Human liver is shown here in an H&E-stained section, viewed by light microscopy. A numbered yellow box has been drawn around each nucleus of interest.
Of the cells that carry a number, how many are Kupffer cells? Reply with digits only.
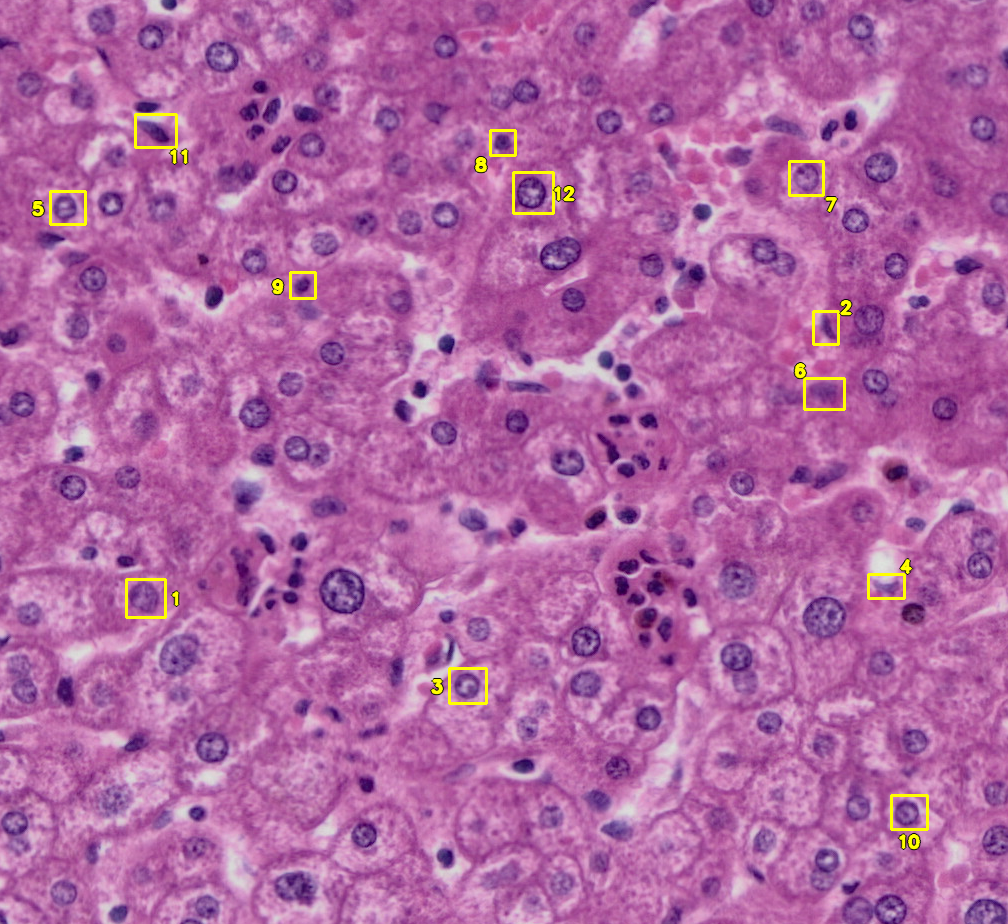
1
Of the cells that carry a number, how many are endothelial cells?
3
